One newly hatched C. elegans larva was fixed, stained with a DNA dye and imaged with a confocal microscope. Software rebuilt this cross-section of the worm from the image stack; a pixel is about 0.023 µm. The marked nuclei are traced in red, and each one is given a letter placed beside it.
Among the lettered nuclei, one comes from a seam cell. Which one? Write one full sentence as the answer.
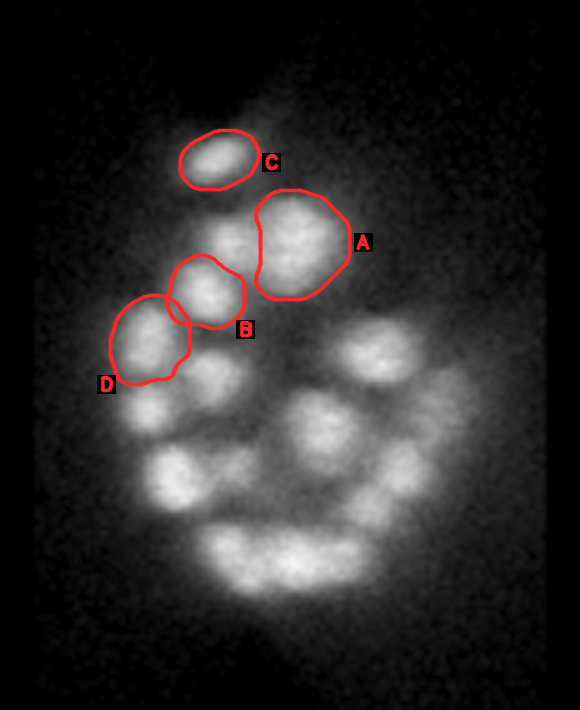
D is the one that belongs to a seam cell.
